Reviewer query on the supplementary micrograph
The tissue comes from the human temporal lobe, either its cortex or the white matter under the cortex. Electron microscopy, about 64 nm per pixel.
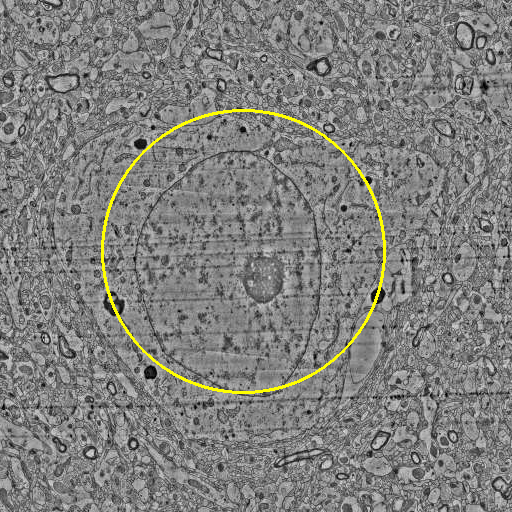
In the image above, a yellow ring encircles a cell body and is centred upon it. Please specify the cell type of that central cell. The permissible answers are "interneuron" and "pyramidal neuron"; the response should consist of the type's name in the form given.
pyramidal neuron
